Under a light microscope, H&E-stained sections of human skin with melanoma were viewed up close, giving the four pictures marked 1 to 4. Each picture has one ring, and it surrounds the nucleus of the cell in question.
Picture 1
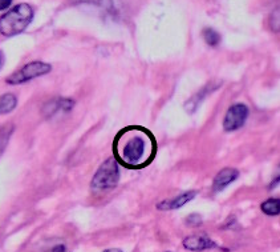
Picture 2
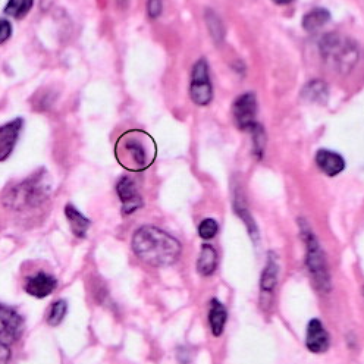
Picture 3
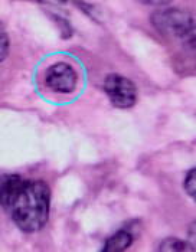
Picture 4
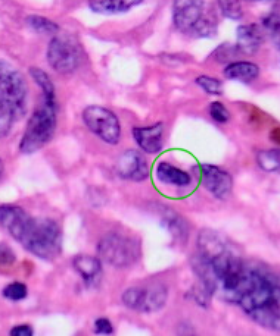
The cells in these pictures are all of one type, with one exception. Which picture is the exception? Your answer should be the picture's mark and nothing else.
2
